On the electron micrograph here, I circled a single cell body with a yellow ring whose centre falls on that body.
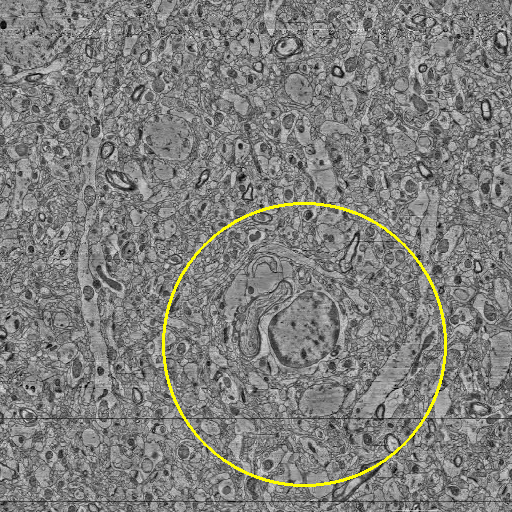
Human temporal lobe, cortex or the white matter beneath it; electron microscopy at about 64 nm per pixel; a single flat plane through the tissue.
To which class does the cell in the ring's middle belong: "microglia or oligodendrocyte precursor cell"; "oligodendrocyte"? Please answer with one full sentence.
In this picture, the cell body circled at the ring's centre belongs to a microglial cell or oligodendrocyte precursor cell.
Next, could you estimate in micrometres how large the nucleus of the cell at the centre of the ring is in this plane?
In this plane the nucleus is about 5 micrometres across.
